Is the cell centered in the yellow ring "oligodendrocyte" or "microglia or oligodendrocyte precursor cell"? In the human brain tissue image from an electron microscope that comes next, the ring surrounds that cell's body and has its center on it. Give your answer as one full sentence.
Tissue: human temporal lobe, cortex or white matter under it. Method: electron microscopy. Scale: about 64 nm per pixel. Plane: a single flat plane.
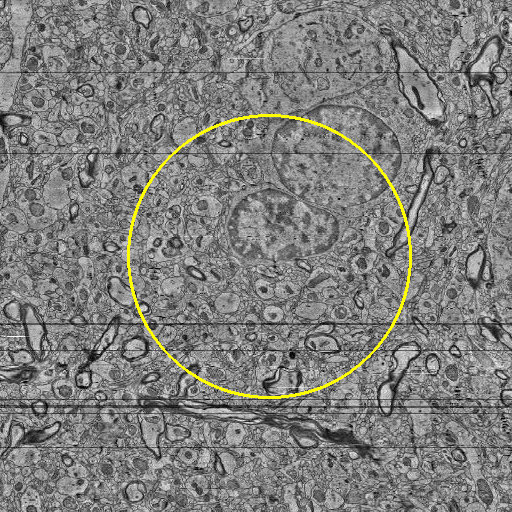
The cell at the center of the yellow ring is an oligodendrocyte in the micrograph.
